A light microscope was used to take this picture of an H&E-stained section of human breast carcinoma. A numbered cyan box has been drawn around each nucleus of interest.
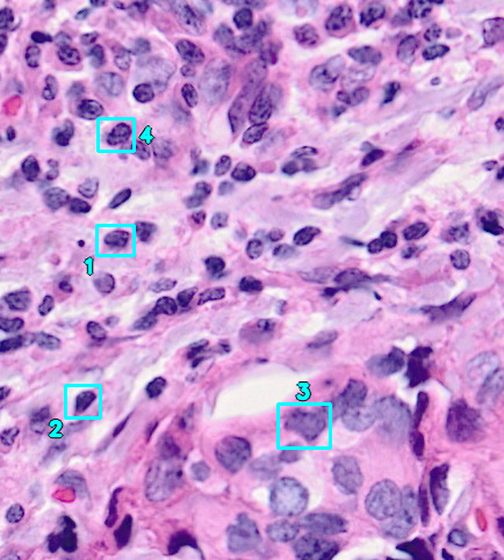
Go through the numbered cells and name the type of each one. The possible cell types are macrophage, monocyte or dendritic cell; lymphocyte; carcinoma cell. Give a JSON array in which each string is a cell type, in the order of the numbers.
["lymphocyte", "lymphocyte", "carcinoma cell", "lymphocyte"]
